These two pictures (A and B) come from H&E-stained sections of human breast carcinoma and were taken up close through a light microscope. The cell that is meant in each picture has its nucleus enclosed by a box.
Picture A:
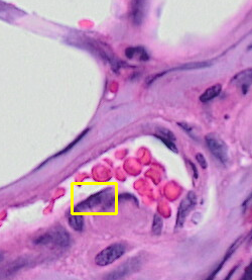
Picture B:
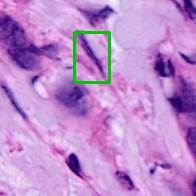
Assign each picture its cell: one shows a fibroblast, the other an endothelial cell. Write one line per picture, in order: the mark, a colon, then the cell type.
A: endothelial cell
B: fibroblast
